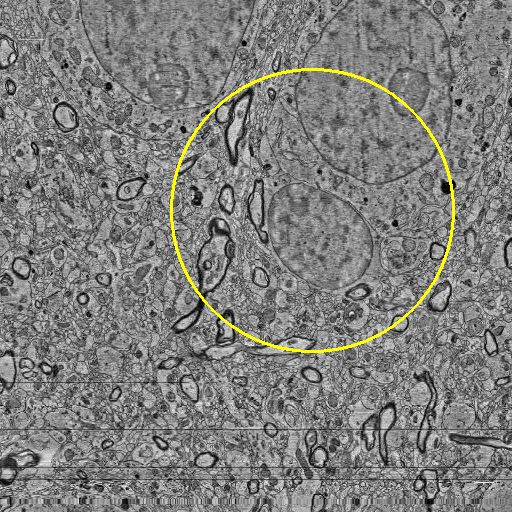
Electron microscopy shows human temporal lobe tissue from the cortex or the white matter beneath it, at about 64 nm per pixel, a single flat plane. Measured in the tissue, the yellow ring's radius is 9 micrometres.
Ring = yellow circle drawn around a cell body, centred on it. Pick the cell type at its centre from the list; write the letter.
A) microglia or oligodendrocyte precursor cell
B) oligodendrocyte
B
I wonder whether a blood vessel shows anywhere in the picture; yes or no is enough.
No, none shows.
